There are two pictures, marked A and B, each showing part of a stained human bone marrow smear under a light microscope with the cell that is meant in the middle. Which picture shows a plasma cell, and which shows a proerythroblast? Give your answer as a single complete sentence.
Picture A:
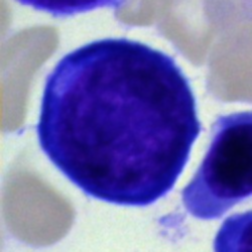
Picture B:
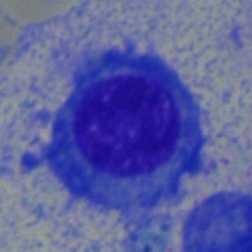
Picture B shows a plasma cell, while picture A shows a proerythroblast.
